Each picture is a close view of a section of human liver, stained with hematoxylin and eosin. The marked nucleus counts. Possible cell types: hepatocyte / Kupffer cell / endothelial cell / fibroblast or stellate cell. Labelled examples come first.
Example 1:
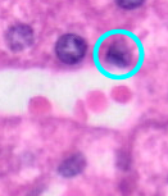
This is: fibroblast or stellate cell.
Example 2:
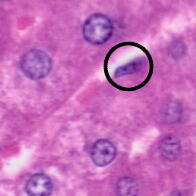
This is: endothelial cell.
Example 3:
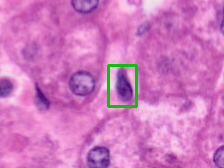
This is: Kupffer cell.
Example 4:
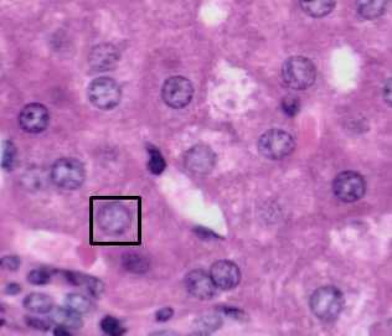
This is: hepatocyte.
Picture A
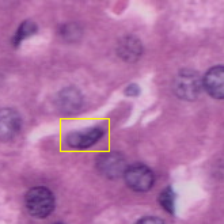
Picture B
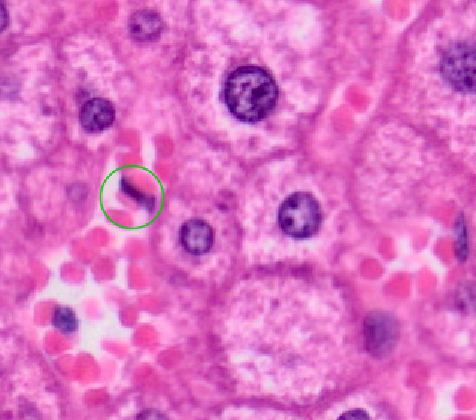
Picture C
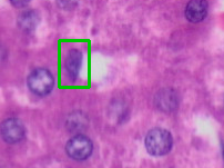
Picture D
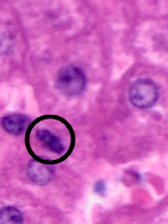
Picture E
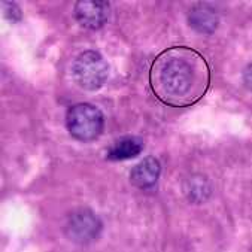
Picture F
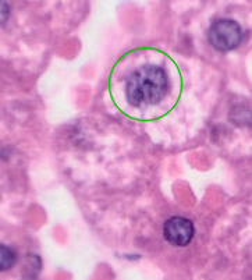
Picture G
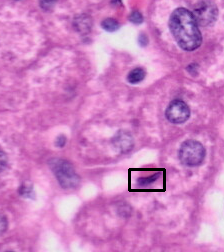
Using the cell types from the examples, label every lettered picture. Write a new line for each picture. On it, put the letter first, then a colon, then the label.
A: Kupffer cell.
B: endothelial cell.
C: endothelial cell.
D: fibroblast or stellate cell.
E: hepatocyte.
F: hepatocyte.
G: endothelial cell.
